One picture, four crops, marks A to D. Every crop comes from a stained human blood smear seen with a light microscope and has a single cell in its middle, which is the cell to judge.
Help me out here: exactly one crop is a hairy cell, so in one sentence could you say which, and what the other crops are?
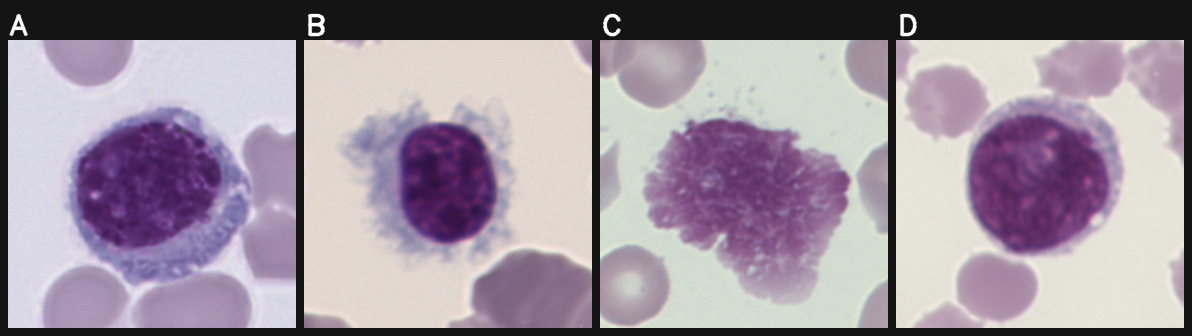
The cell of interest in crop B is a hairy cell, and crop A is a plasma cell, crop C is a smudge cell and crop D is a myeloblast.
